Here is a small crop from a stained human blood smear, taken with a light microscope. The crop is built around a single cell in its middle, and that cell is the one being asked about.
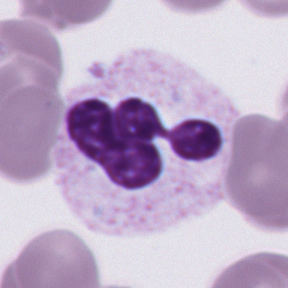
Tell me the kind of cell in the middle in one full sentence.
In the middle of this smear crop is a segmented neutrophil.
